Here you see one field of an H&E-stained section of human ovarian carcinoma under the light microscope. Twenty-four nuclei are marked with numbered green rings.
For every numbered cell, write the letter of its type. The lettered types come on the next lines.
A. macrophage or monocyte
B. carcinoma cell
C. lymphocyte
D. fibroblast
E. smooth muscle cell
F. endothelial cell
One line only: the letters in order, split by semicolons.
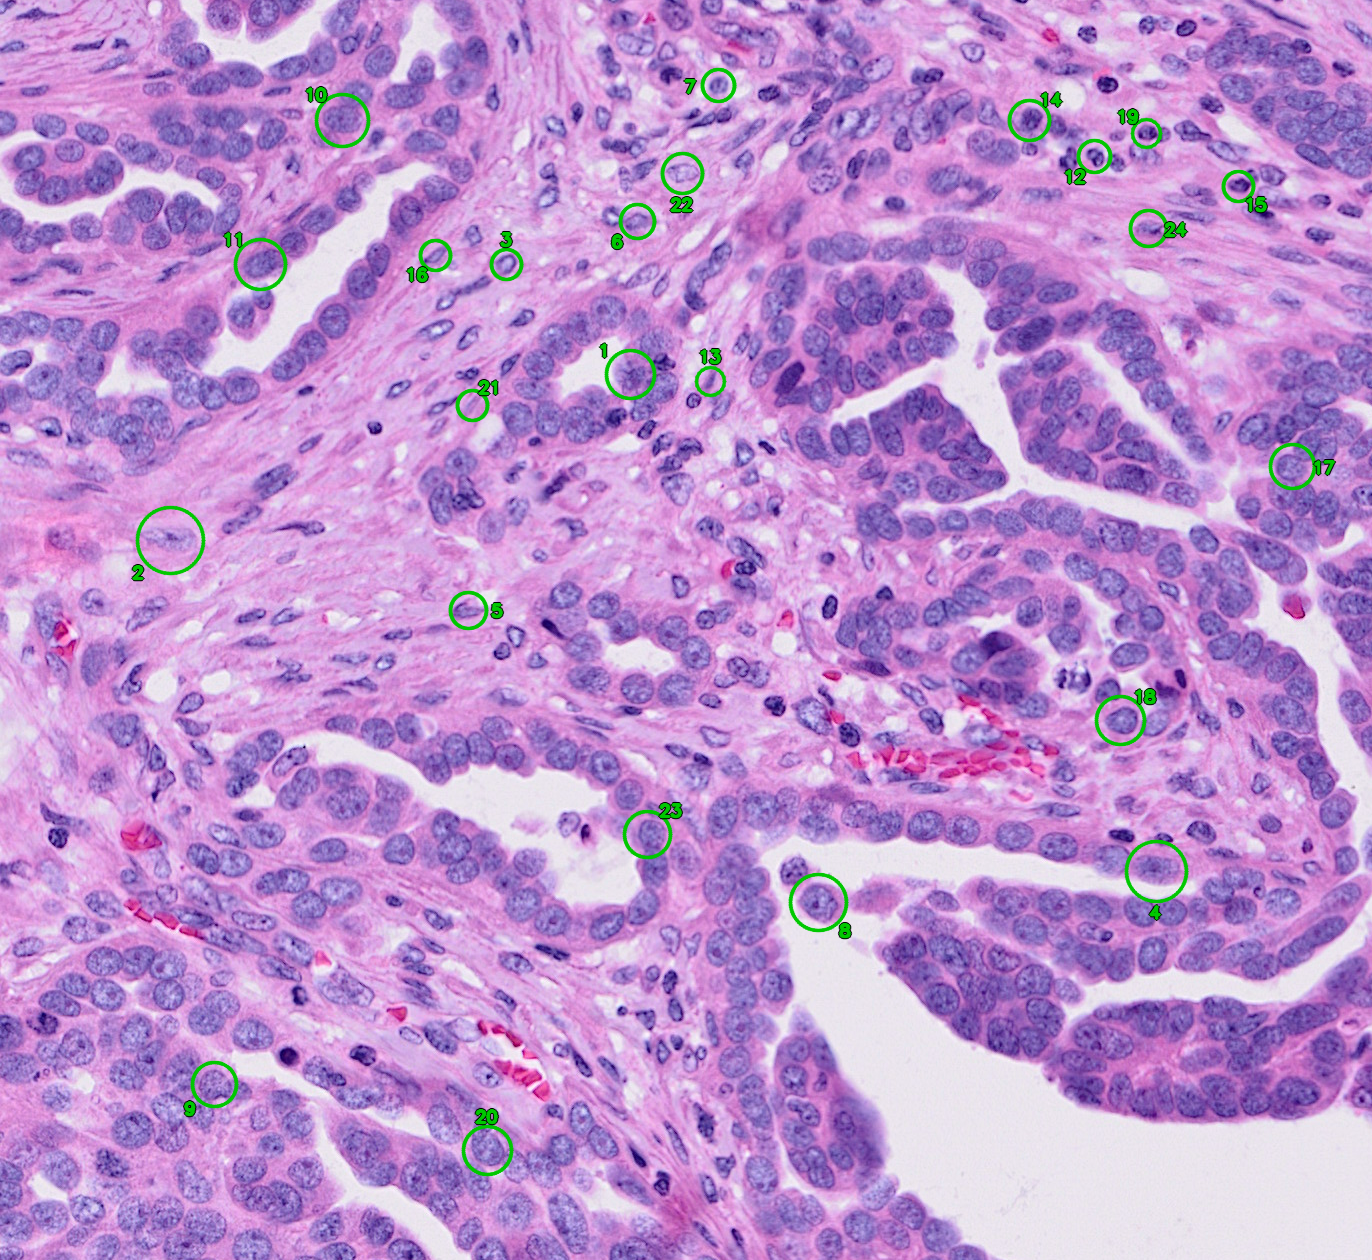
B; D; D; B; D; D; C; B; B; B; B; C; D; C; C; D; B; B; C; B; D; D; B; D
